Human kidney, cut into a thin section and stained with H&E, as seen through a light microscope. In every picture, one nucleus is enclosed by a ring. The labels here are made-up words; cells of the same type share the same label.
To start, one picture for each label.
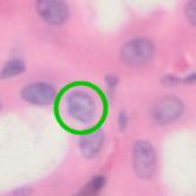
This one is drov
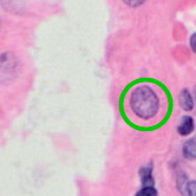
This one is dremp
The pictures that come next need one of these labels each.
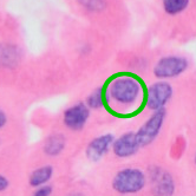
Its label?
drov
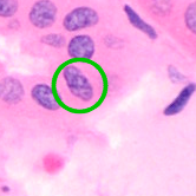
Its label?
drov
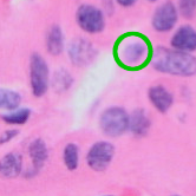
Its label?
drov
